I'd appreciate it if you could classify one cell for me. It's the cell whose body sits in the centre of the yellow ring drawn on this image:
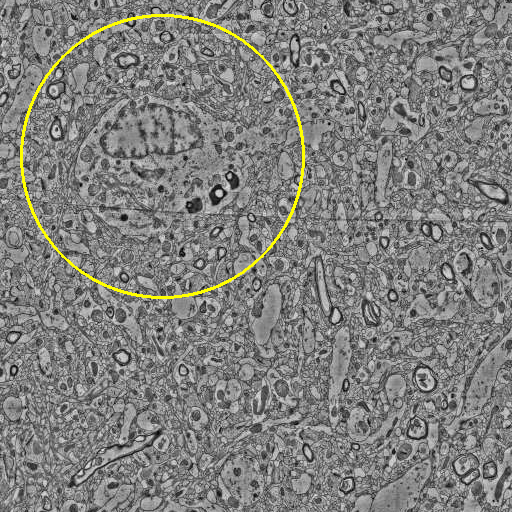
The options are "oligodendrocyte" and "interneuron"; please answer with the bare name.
interneuron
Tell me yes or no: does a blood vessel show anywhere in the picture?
No, a blood vessel is absent from this picture.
